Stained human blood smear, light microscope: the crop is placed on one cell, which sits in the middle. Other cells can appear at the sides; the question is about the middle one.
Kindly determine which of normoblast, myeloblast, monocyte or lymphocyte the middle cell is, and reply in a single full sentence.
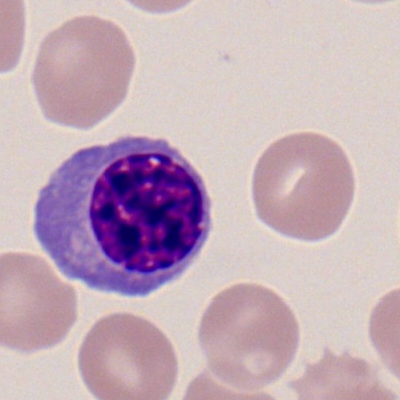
This crop's central cell is a normoblast.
